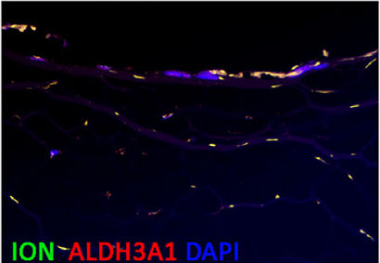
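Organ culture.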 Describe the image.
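Corneal stroma in which elongated, flattened cells lie in thin lines between the stromal lamellae, which show faintly as a purplish network of wavy bands. Many of these cells are yellow to orange where green and red overlap, and some carry blue nuclei. The cells are spindle-shaped and spread out along the lamellae, most densely in one band near the top of the field.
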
